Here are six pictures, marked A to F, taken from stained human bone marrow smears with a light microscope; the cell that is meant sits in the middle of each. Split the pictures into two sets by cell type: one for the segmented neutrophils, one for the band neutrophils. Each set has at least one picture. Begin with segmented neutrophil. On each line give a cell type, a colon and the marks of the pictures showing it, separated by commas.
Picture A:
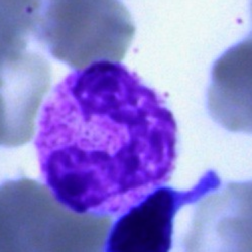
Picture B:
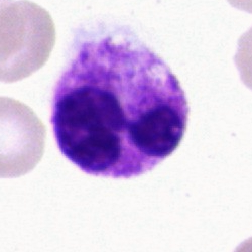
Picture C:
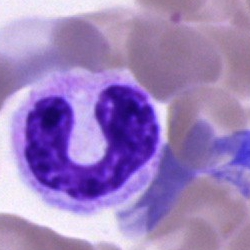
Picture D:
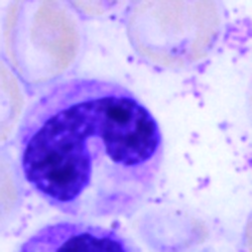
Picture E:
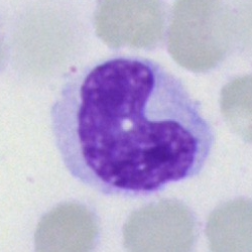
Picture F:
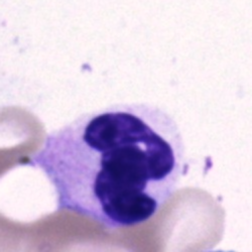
segmented neutrophil: B, F
band neutrophil: A, C, D, E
